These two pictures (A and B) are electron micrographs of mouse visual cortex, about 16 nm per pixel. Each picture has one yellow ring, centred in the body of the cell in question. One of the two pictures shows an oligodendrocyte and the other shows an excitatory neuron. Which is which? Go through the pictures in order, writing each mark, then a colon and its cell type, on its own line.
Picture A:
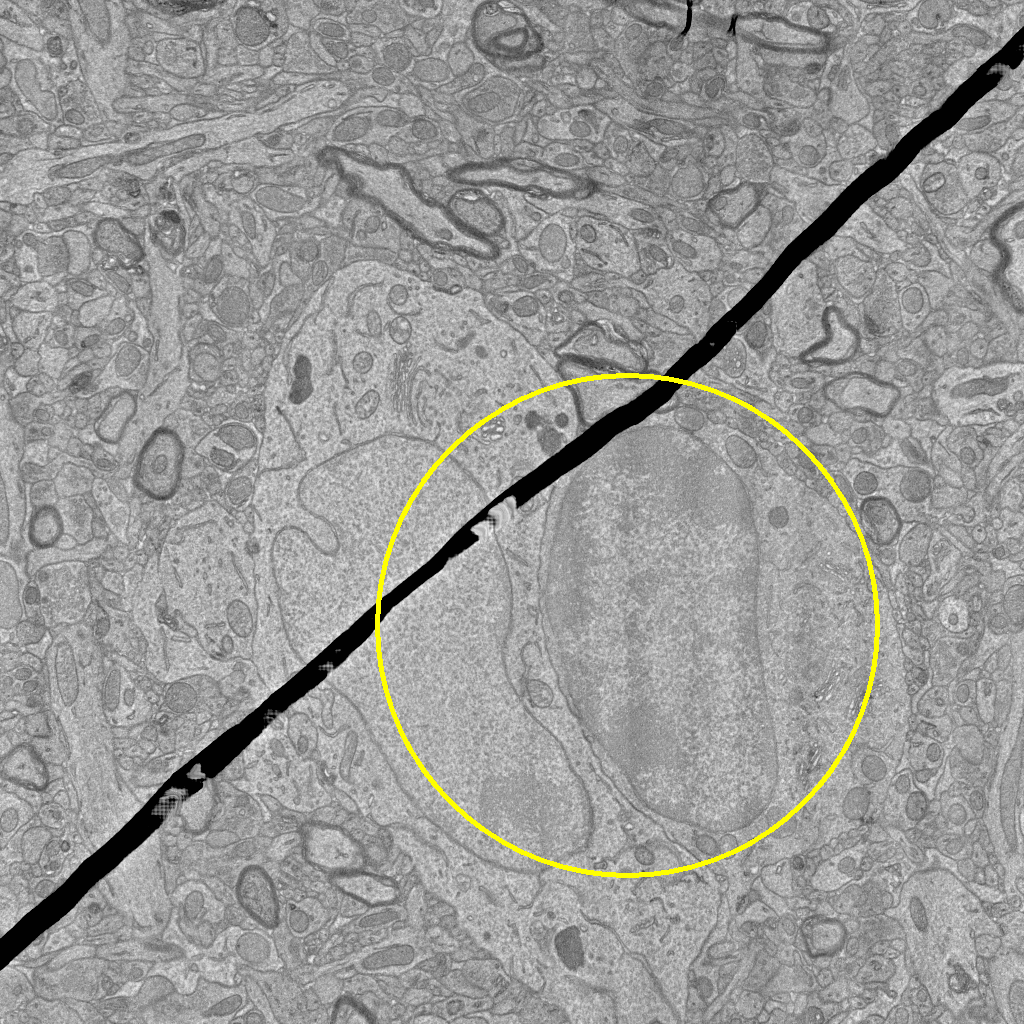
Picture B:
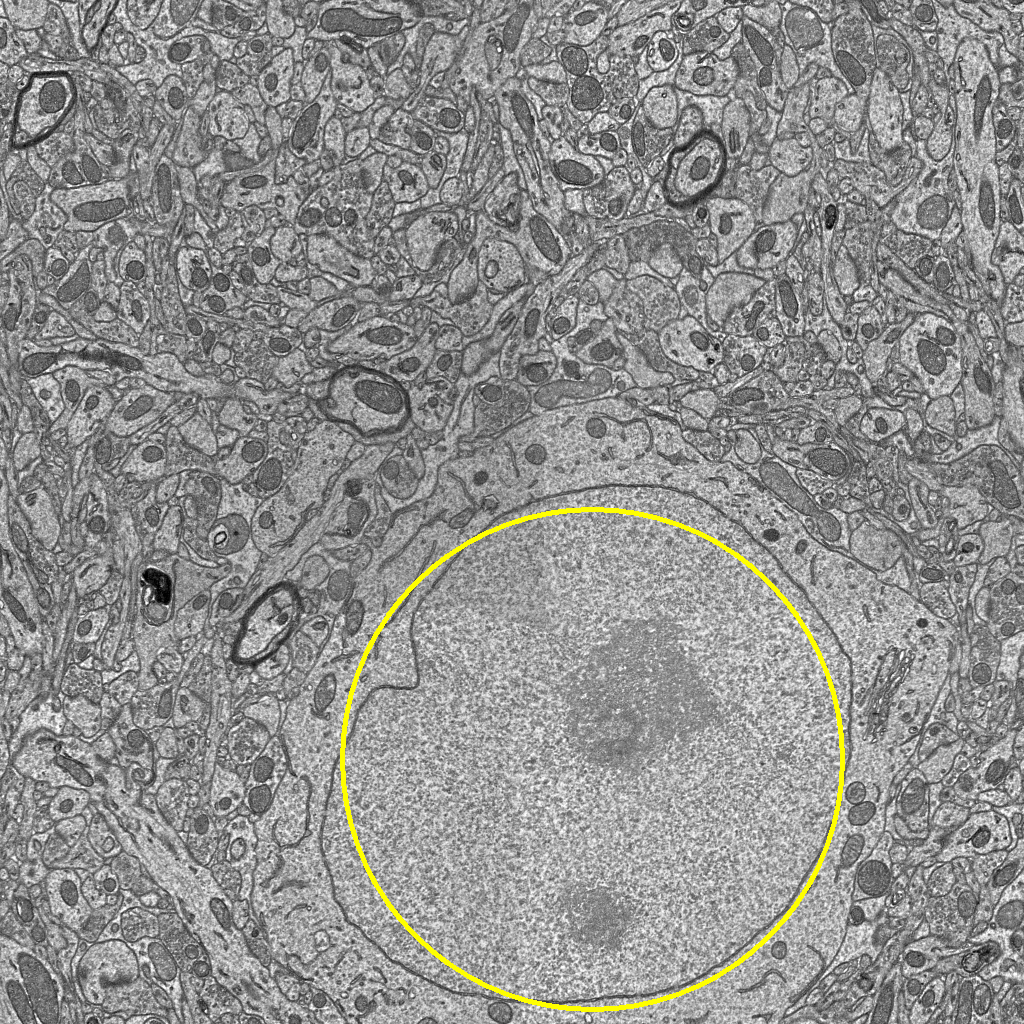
A: oligodendrocyte
B: excitatory neuron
